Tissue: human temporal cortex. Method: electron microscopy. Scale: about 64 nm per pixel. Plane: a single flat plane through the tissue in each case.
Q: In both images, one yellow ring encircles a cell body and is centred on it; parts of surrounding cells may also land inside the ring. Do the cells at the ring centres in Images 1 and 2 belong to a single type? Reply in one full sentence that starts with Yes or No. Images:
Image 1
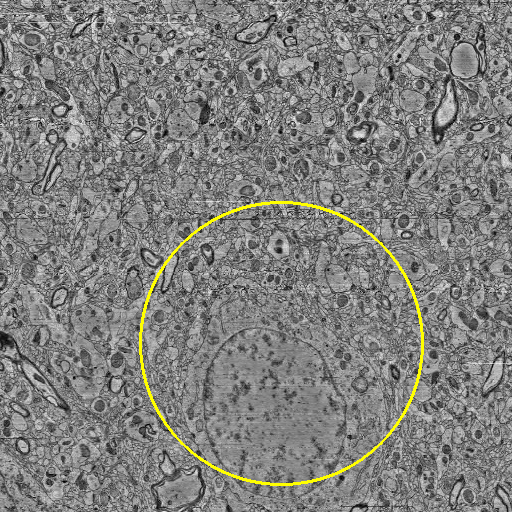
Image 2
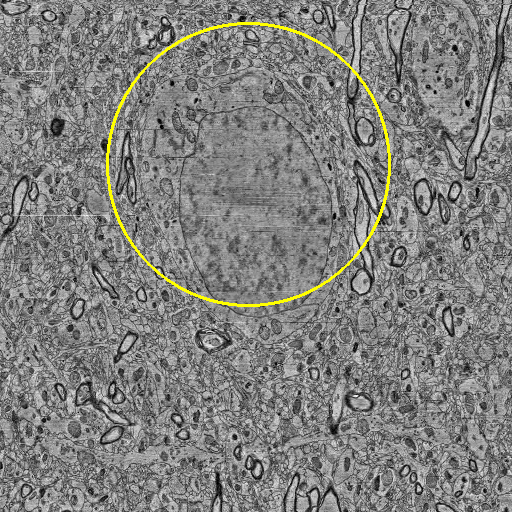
No, the cells at the ring centres in Images 1 and 2 are of two types.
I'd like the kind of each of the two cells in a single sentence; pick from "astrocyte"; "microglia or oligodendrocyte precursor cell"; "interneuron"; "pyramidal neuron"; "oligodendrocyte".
The first ring marks an interneuron, and the second ring marks a pyramidal neuron.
